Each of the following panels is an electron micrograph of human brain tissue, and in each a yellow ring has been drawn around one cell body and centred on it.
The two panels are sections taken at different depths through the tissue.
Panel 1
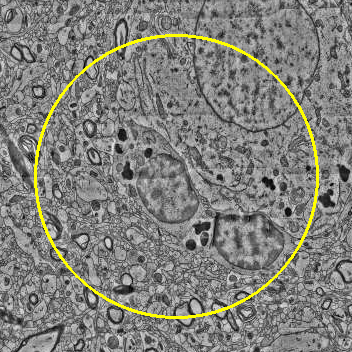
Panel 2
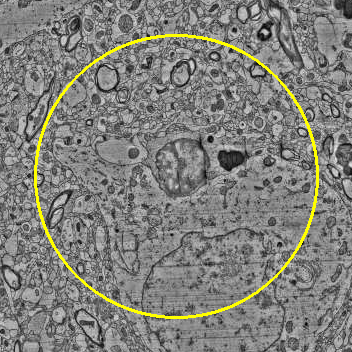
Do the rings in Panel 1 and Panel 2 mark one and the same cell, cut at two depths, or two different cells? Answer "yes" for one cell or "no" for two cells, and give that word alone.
no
